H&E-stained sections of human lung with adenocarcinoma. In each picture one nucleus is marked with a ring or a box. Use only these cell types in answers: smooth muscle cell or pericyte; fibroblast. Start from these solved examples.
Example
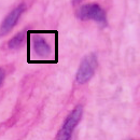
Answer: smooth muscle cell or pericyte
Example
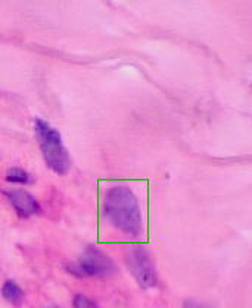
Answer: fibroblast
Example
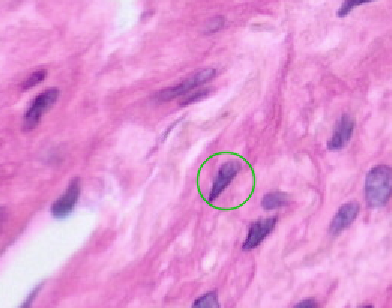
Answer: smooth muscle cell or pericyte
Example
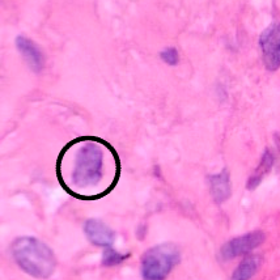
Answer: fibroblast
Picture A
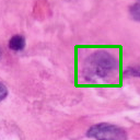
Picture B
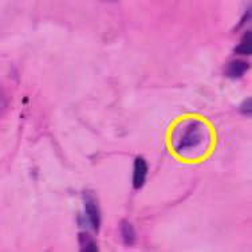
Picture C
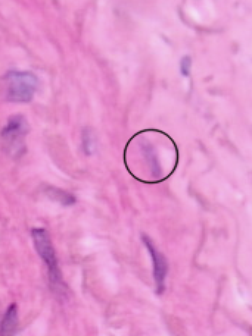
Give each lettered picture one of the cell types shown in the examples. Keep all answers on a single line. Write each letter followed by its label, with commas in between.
A fibroblast, B fibroblast, C smooth muscle cell or pericyte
